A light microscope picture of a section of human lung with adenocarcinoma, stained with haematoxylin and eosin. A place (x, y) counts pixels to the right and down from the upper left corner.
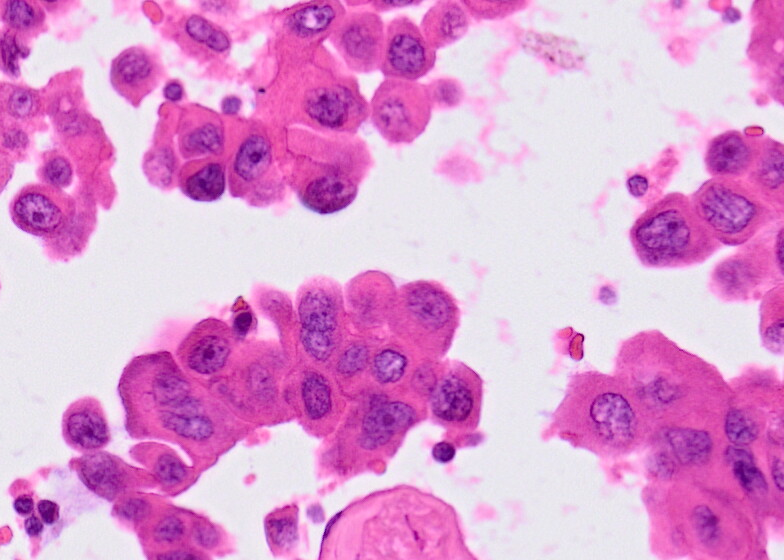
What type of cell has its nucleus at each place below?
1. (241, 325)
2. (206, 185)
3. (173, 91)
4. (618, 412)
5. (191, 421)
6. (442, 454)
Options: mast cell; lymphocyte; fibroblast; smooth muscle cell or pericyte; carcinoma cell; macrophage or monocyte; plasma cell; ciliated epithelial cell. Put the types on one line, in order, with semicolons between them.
carcinoma cell; carcinoma cell; lymphocyte; carcinoma cell; carcinoma cell; lymphocyte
